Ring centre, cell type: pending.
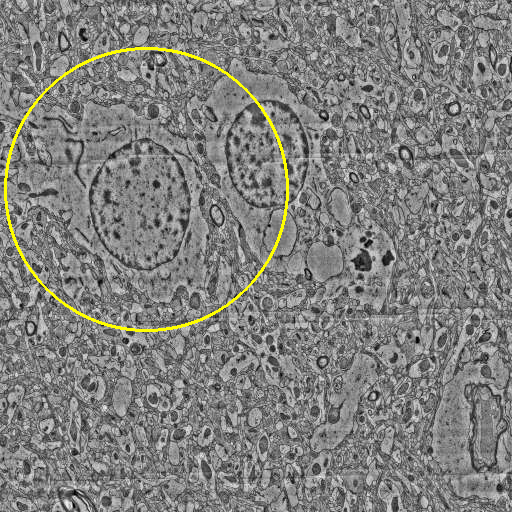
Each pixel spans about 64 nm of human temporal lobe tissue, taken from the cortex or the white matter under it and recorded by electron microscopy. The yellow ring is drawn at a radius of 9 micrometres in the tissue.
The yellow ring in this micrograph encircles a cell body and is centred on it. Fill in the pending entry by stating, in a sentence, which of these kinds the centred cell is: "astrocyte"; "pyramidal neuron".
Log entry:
The centred cell is recorded as an astrocyte.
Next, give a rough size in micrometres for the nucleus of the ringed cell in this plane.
Approximately 8 by 6 micrometers in this plane.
